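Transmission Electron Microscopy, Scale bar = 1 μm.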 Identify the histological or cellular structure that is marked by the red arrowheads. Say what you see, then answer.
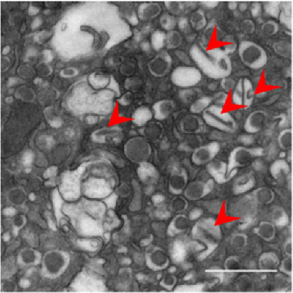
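The arrowheads point to granules whose dark core is elongated rather than round. Most surrounding granules have a round dark core within a pale halo.
Granules with a “rod-shaped” core.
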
